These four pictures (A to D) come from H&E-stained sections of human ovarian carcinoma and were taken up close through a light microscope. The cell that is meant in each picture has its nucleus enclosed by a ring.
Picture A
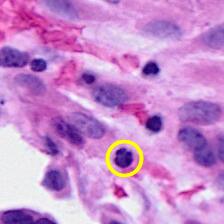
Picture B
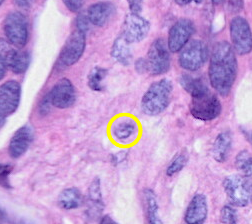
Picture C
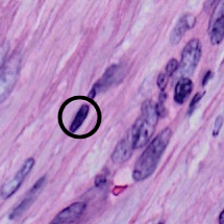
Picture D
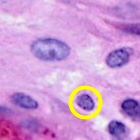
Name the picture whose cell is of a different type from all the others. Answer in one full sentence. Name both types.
Unlike the rest, which show lymphocytes, picture B shows a “macrophage or monocyte”.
